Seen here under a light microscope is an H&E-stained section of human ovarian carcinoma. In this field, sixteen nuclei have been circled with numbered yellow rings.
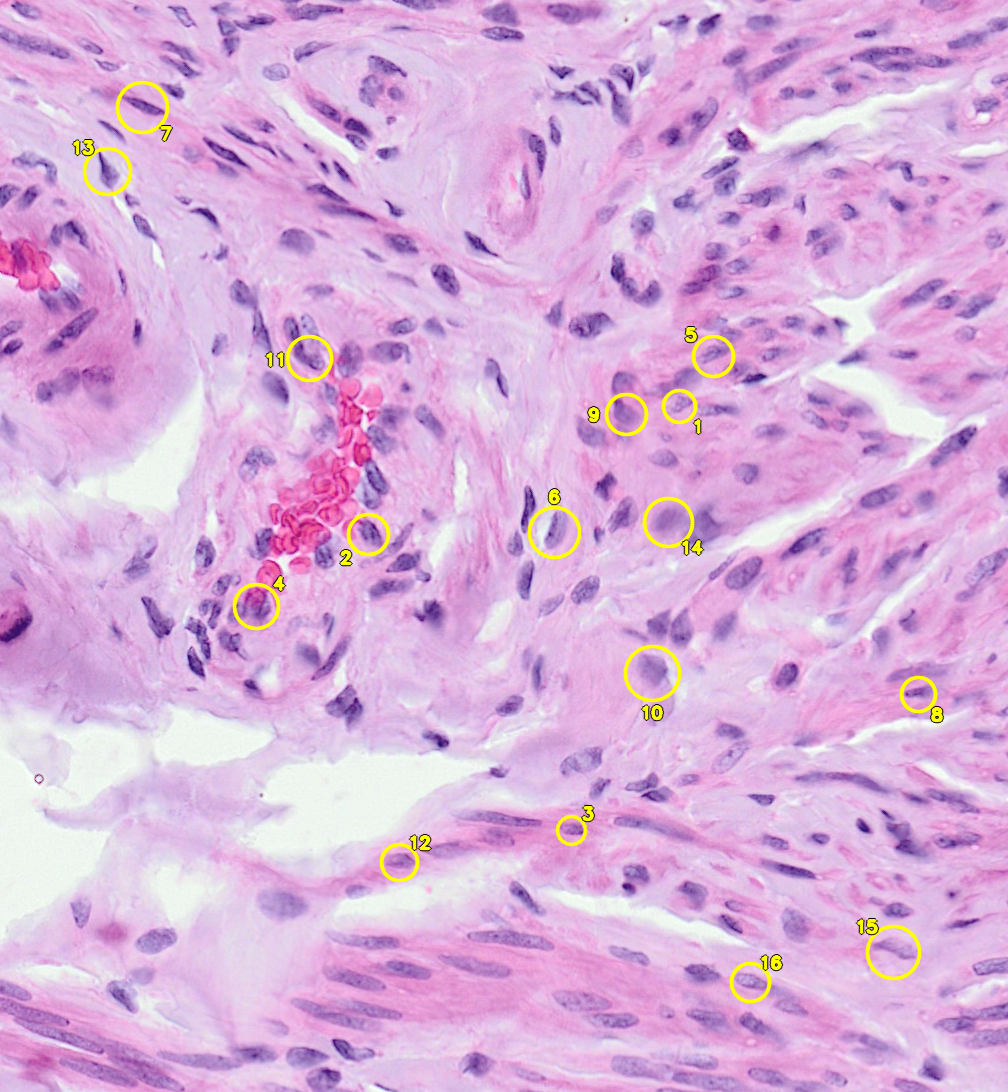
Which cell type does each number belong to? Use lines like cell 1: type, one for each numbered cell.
cell 1: smooth muscle cell
cell 2: endothelial cell
cell 3: smooth muscle cell
cell 4: endothelial cell
cell 5: smooth muscle cell
cell 6: fibroblast
cell 7: smooth muscle cell
cell 8: smooth muscle cell
cell 9: smooth muscle cell
cell 10: fibroblast
cell 11: endothelial cell
cell 12: smooth muscle cell
cell 13: fibroblast
cell 14: fibroblast
cell 15: smooth muscle cell
cell 16: smooth muscle cell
